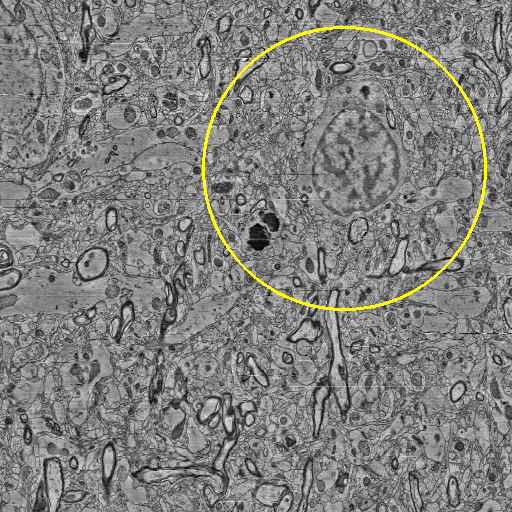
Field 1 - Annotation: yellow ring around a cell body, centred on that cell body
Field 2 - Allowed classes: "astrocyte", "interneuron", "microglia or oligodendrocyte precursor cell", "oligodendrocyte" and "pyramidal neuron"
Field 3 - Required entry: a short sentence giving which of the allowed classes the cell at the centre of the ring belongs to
The centred cell is an oligodendrocyte.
